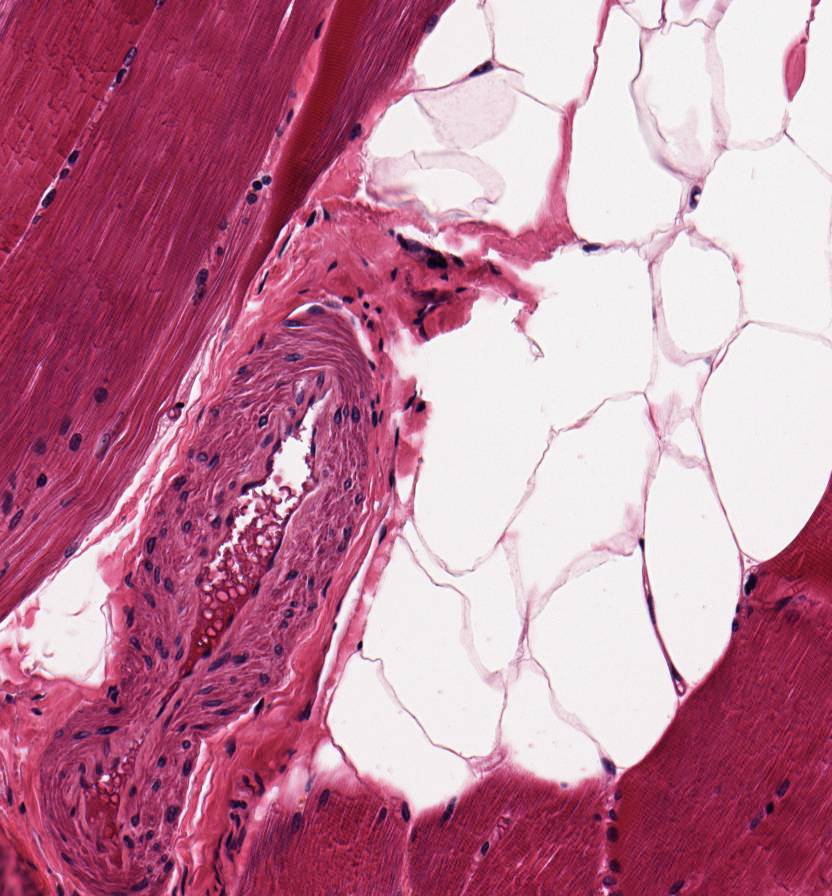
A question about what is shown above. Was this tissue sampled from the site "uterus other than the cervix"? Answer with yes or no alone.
no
